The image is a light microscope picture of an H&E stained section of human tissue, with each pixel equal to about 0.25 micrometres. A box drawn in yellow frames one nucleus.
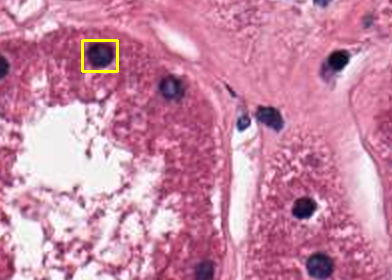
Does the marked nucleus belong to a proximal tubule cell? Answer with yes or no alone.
yes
